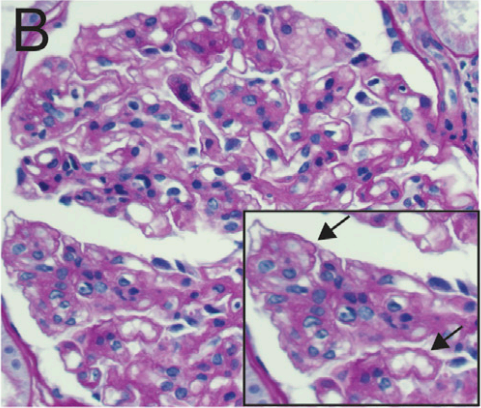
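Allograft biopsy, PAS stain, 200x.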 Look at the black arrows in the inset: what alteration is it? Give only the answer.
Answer: Reduplication of the capillary basement membranes.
